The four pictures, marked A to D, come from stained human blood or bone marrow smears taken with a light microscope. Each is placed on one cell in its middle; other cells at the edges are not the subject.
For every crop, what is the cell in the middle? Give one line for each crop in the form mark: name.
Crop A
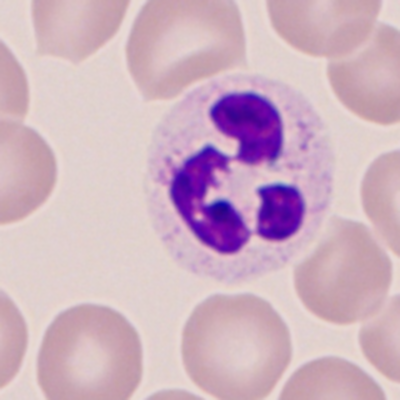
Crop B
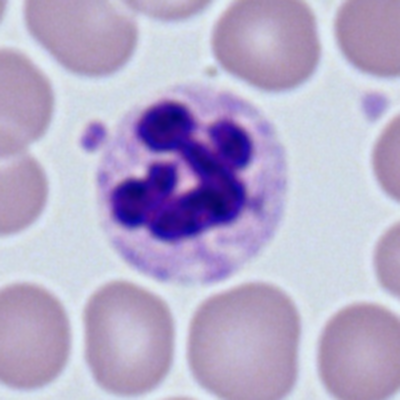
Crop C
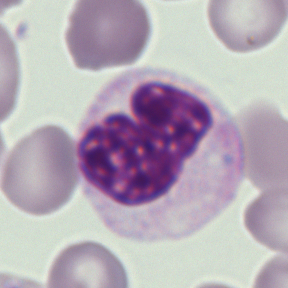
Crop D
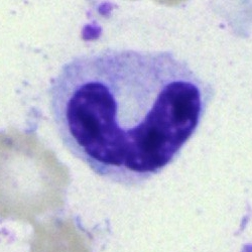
A: segmented neutrophil
B: segmented neutrophil
C: segmented neutrophil
D: band neutrophil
